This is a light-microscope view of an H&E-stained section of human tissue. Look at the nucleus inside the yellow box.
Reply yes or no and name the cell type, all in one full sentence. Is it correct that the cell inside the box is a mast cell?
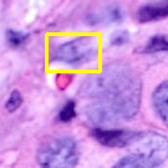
No, the cell inside the box is classed as an endothelial cell, not as a mast cell.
